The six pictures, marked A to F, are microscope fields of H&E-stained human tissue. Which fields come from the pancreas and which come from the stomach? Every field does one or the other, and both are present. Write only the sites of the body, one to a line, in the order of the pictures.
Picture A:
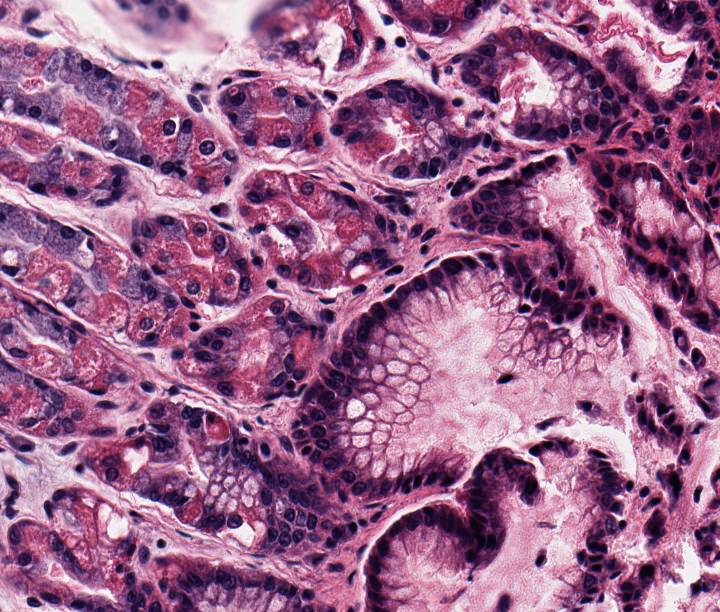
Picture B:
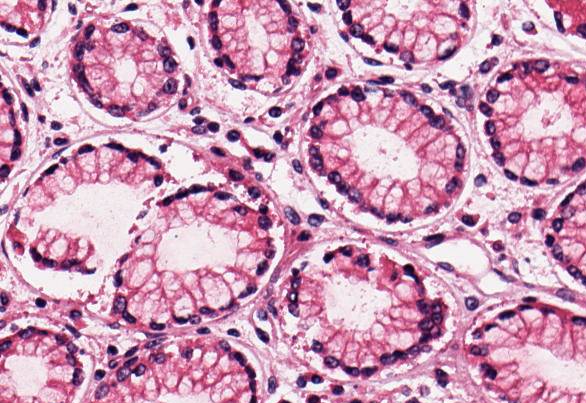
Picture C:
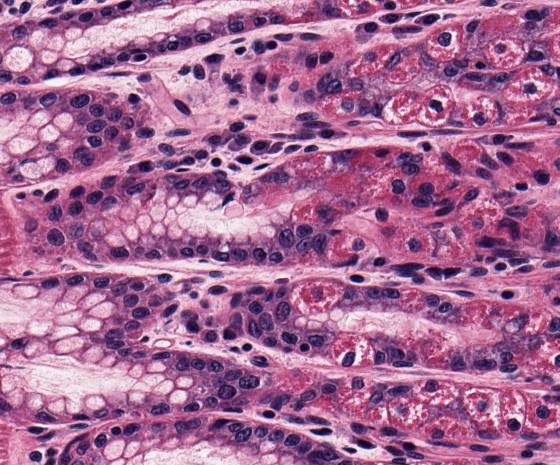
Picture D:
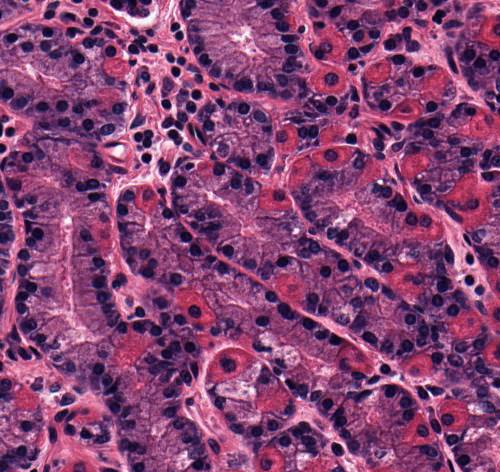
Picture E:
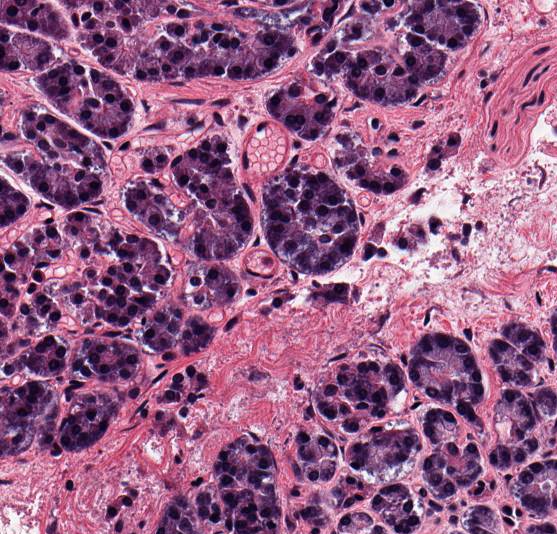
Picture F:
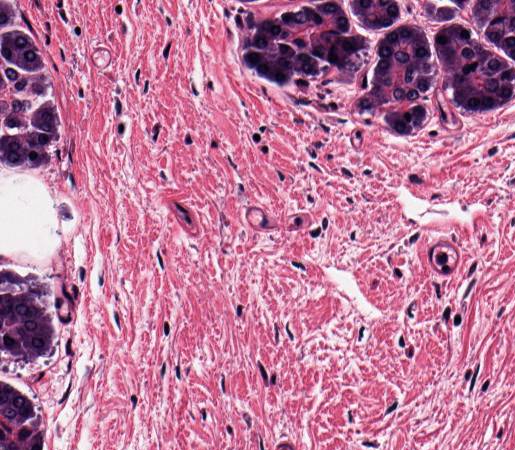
stomach
stomach
stomach
stomach
pancreas
pancreas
